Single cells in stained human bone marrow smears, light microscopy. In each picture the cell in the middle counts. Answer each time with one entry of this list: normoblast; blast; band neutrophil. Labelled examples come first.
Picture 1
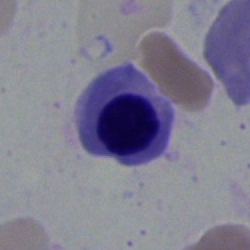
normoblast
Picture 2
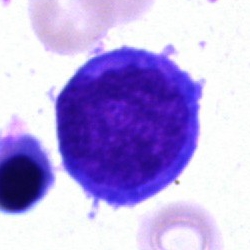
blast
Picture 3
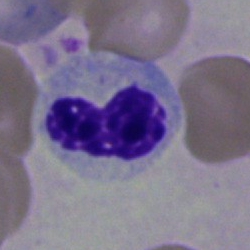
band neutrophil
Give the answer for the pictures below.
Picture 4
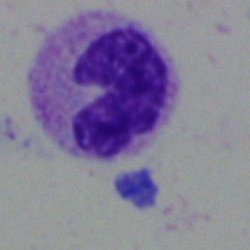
band neutrophil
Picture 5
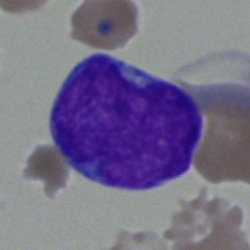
blast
